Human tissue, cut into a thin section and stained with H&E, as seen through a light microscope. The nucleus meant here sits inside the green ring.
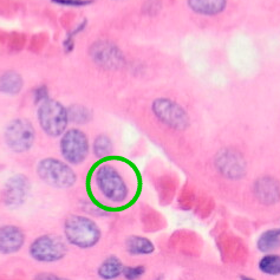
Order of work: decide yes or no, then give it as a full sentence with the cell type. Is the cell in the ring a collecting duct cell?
Yes, where cell type is concerned, the cell in the ring is a collecting duct cell.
